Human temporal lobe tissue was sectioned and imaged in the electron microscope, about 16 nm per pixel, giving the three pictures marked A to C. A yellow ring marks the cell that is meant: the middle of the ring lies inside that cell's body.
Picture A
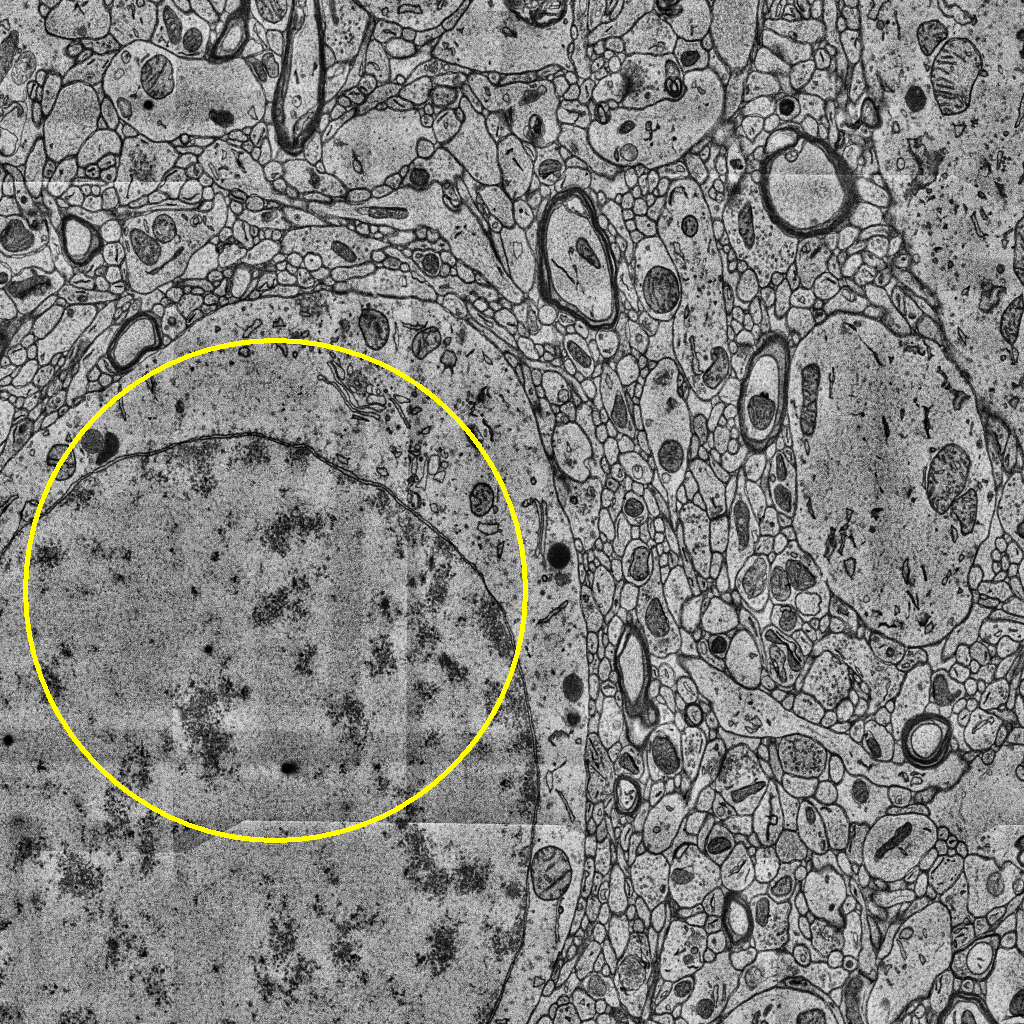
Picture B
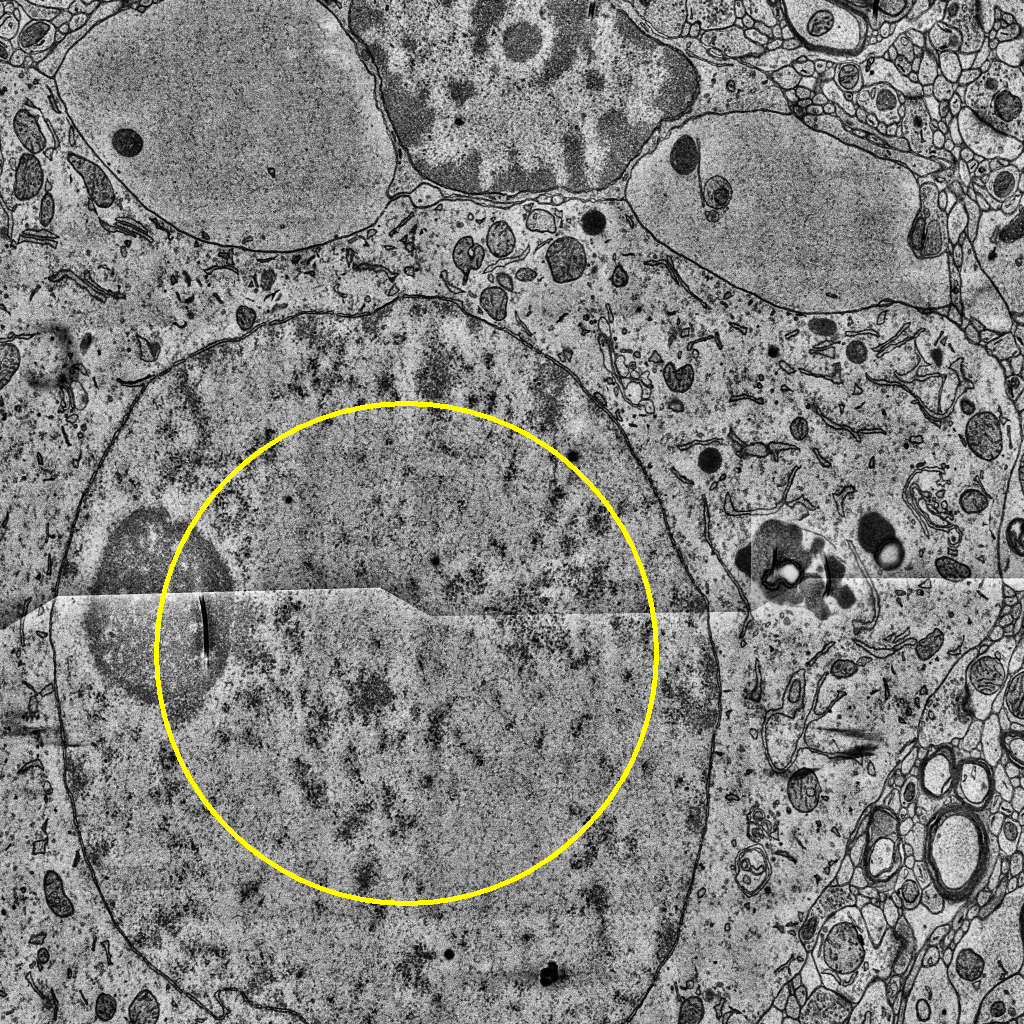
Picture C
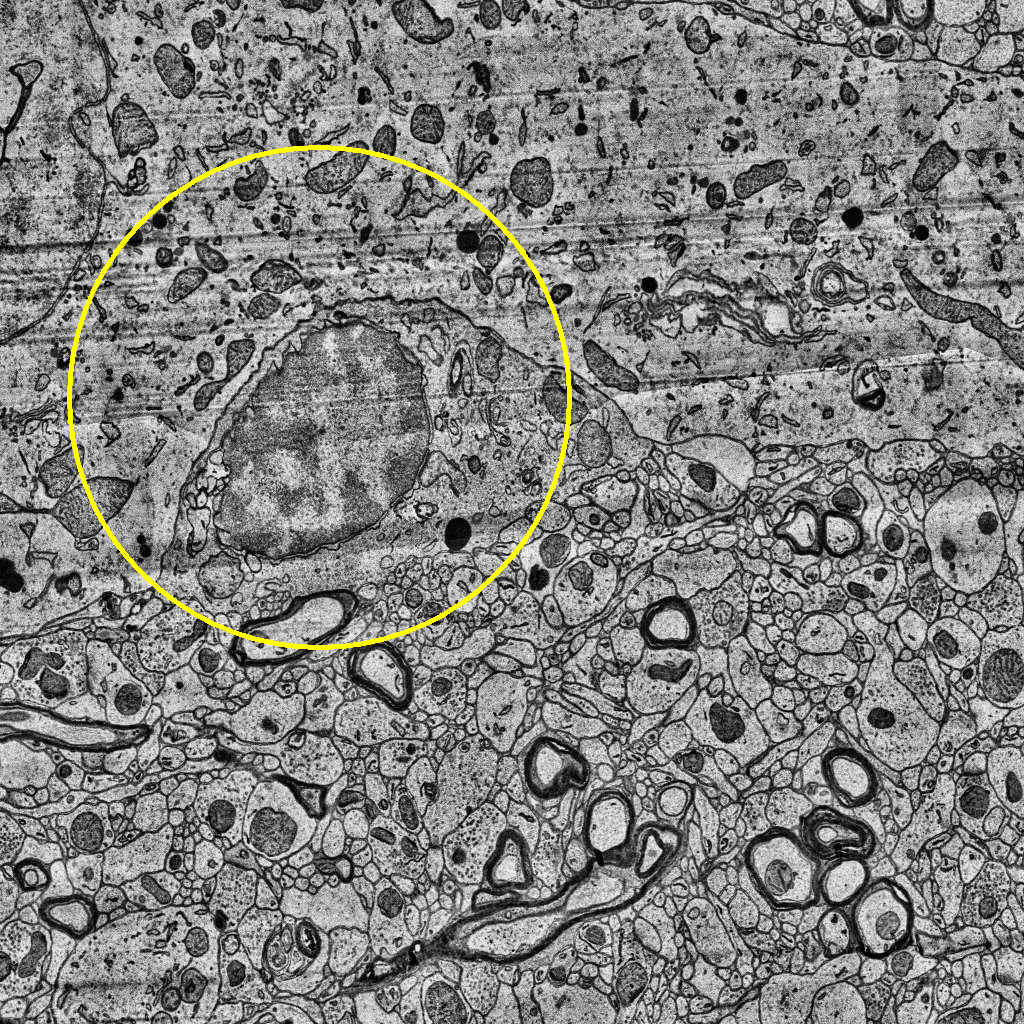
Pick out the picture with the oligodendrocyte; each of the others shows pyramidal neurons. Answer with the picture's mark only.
C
